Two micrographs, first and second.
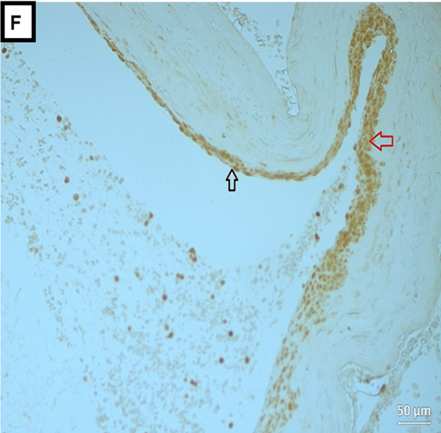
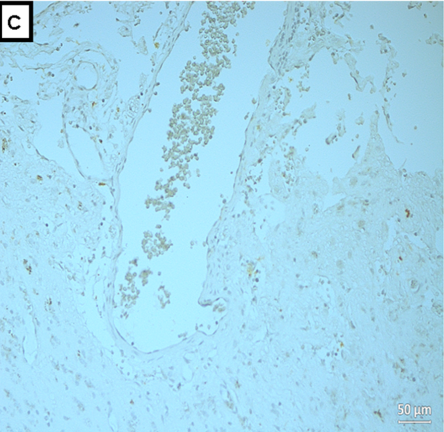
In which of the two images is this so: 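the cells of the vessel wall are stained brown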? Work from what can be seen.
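The first image. First image: a band of cells in the vessel wall is strongly brown. Second image: vessel walls and tissue are pale, nearly unstained, with only red blood cells in the lumen.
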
